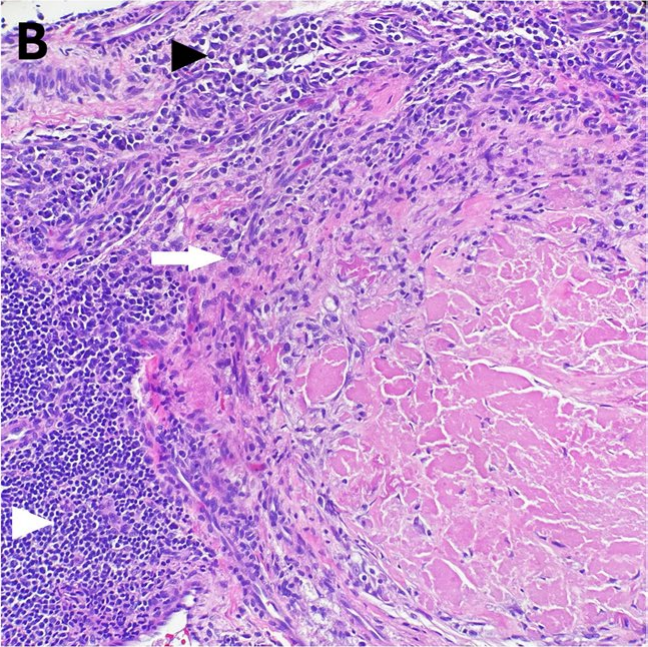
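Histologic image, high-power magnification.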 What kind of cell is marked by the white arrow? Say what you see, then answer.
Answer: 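Histiocytes. Cells with elongated, paler, oval to bean-shaped nuclei. More abundant pale pink cytoplasm than the neighbouring small round cells. They lie between the dense round-cell sheet and the pink hyalinized material.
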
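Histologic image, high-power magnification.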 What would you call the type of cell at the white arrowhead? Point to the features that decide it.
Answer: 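Lymphocytes. Dense sheet of small round cells with dark round nuclei. Very scant cytoplasm around each nucleus.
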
